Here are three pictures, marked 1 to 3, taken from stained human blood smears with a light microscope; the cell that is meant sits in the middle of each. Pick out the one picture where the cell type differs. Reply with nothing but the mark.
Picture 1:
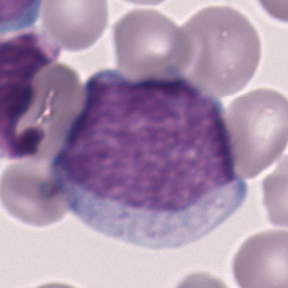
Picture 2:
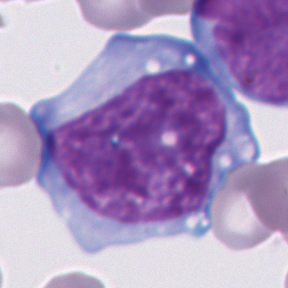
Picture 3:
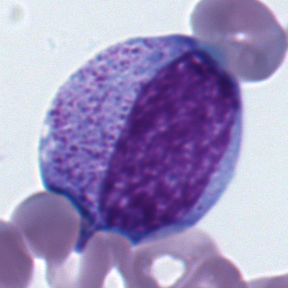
2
